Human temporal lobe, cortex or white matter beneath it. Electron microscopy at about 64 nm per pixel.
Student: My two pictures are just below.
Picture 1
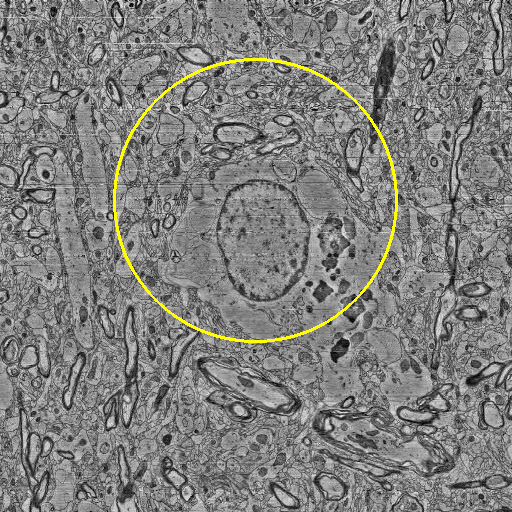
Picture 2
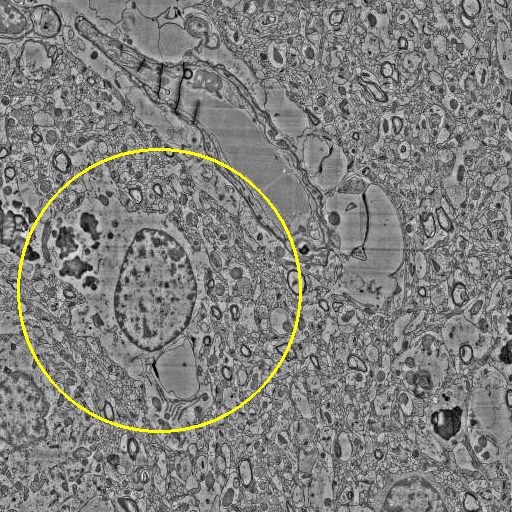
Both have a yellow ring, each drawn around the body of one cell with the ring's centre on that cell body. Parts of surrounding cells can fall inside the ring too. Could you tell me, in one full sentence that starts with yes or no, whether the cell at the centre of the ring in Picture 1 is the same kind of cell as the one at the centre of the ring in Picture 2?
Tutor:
Yes, the two cells are of the same kind.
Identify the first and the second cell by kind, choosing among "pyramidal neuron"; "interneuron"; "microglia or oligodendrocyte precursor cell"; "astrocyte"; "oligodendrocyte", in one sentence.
The cell in the first picture is an astrocyte, and so is the one in the second.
